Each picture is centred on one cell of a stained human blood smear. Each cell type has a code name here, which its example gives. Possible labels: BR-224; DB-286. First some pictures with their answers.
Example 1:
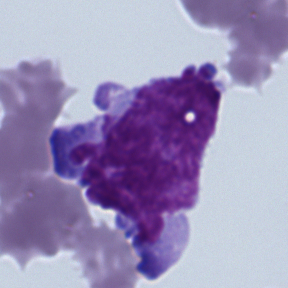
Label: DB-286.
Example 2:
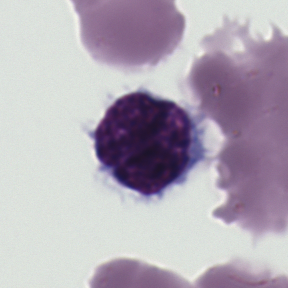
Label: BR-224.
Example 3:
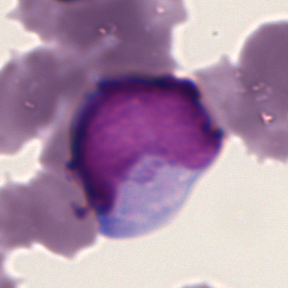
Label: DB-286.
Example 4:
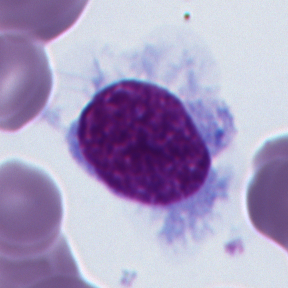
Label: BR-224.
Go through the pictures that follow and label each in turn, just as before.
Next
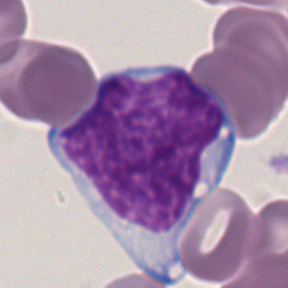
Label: DB-286.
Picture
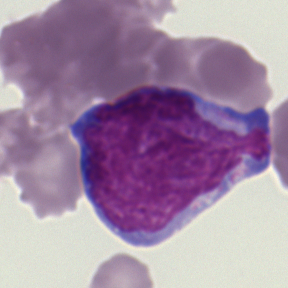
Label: DB-286.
